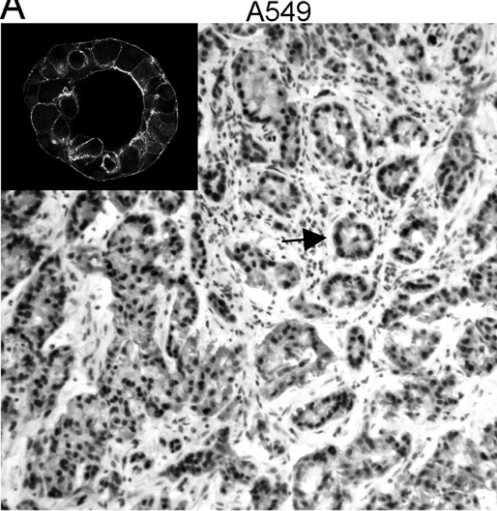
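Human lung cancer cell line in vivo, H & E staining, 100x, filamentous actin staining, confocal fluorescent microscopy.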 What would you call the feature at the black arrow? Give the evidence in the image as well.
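The arrow points at a rounded cluster of tumour cells arranged in a ring. Such rounded cell nests are separated by pale, loose fibrous stroma. The nests show a small central lumen-like space.
Glandular structures.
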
